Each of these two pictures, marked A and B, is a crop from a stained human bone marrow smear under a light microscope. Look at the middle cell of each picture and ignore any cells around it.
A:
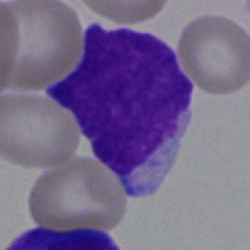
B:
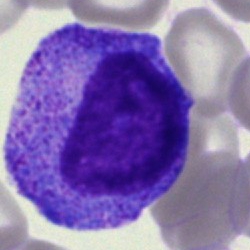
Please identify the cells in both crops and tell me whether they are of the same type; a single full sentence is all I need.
No, crop A depicts a blast, and crop B depicts a promyelocyte.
